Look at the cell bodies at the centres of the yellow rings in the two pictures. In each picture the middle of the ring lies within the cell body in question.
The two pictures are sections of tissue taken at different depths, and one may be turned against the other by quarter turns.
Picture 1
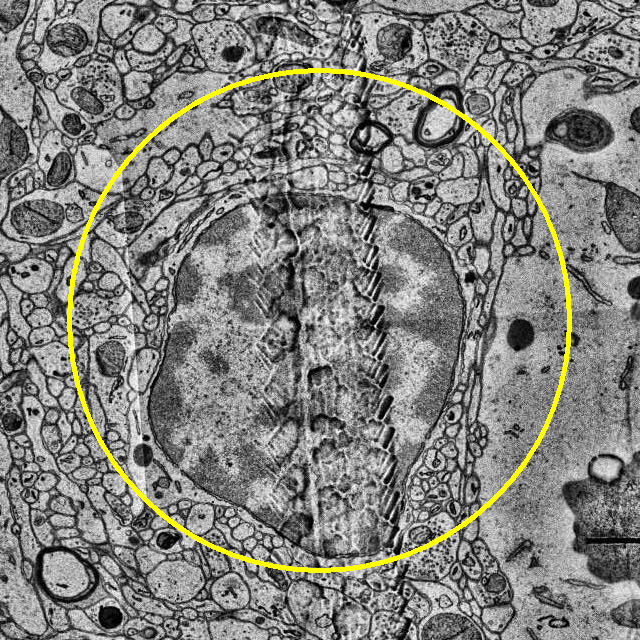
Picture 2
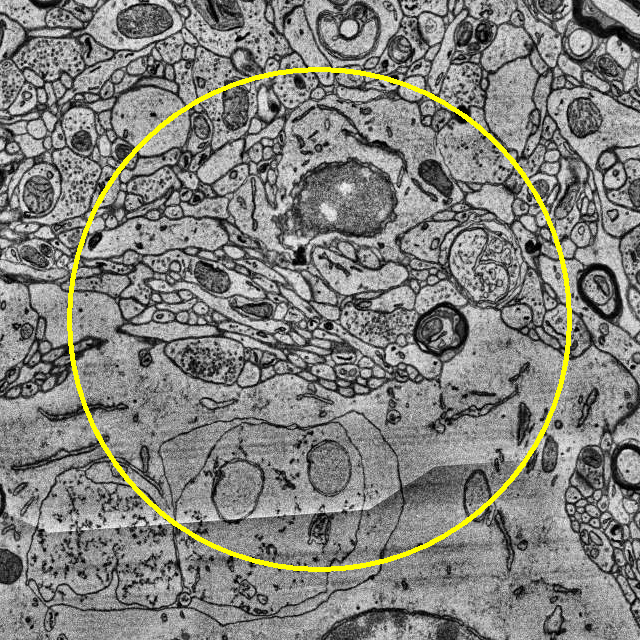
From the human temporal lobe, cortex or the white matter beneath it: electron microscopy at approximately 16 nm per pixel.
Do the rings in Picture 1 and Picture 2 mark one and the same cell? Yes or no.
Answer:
yes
